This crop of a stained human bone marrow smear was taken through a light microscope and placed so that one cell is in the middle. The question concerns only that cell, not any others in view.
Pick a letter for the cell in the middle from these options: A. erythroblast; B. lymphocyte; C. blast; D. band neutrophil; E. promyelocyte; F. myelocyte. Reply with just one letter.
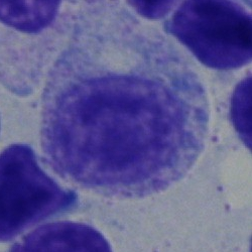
F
